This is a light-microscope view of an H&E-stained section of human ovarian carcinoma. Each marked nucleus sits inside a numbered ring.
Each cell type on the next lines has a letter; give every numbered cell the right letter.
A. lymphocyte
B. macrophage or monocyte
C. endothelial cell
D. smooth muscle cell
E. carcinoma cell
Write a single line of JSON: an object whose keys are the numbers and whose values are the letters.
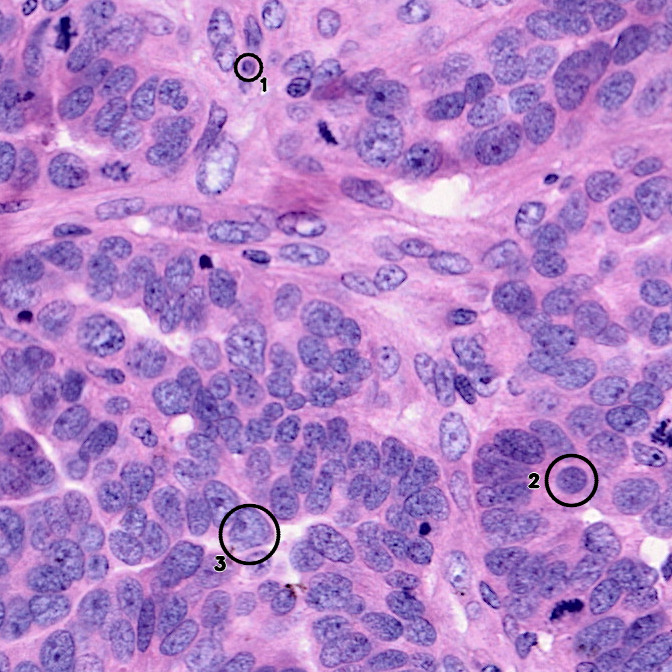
{"1": "A", "2": "E", "3": "E"}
